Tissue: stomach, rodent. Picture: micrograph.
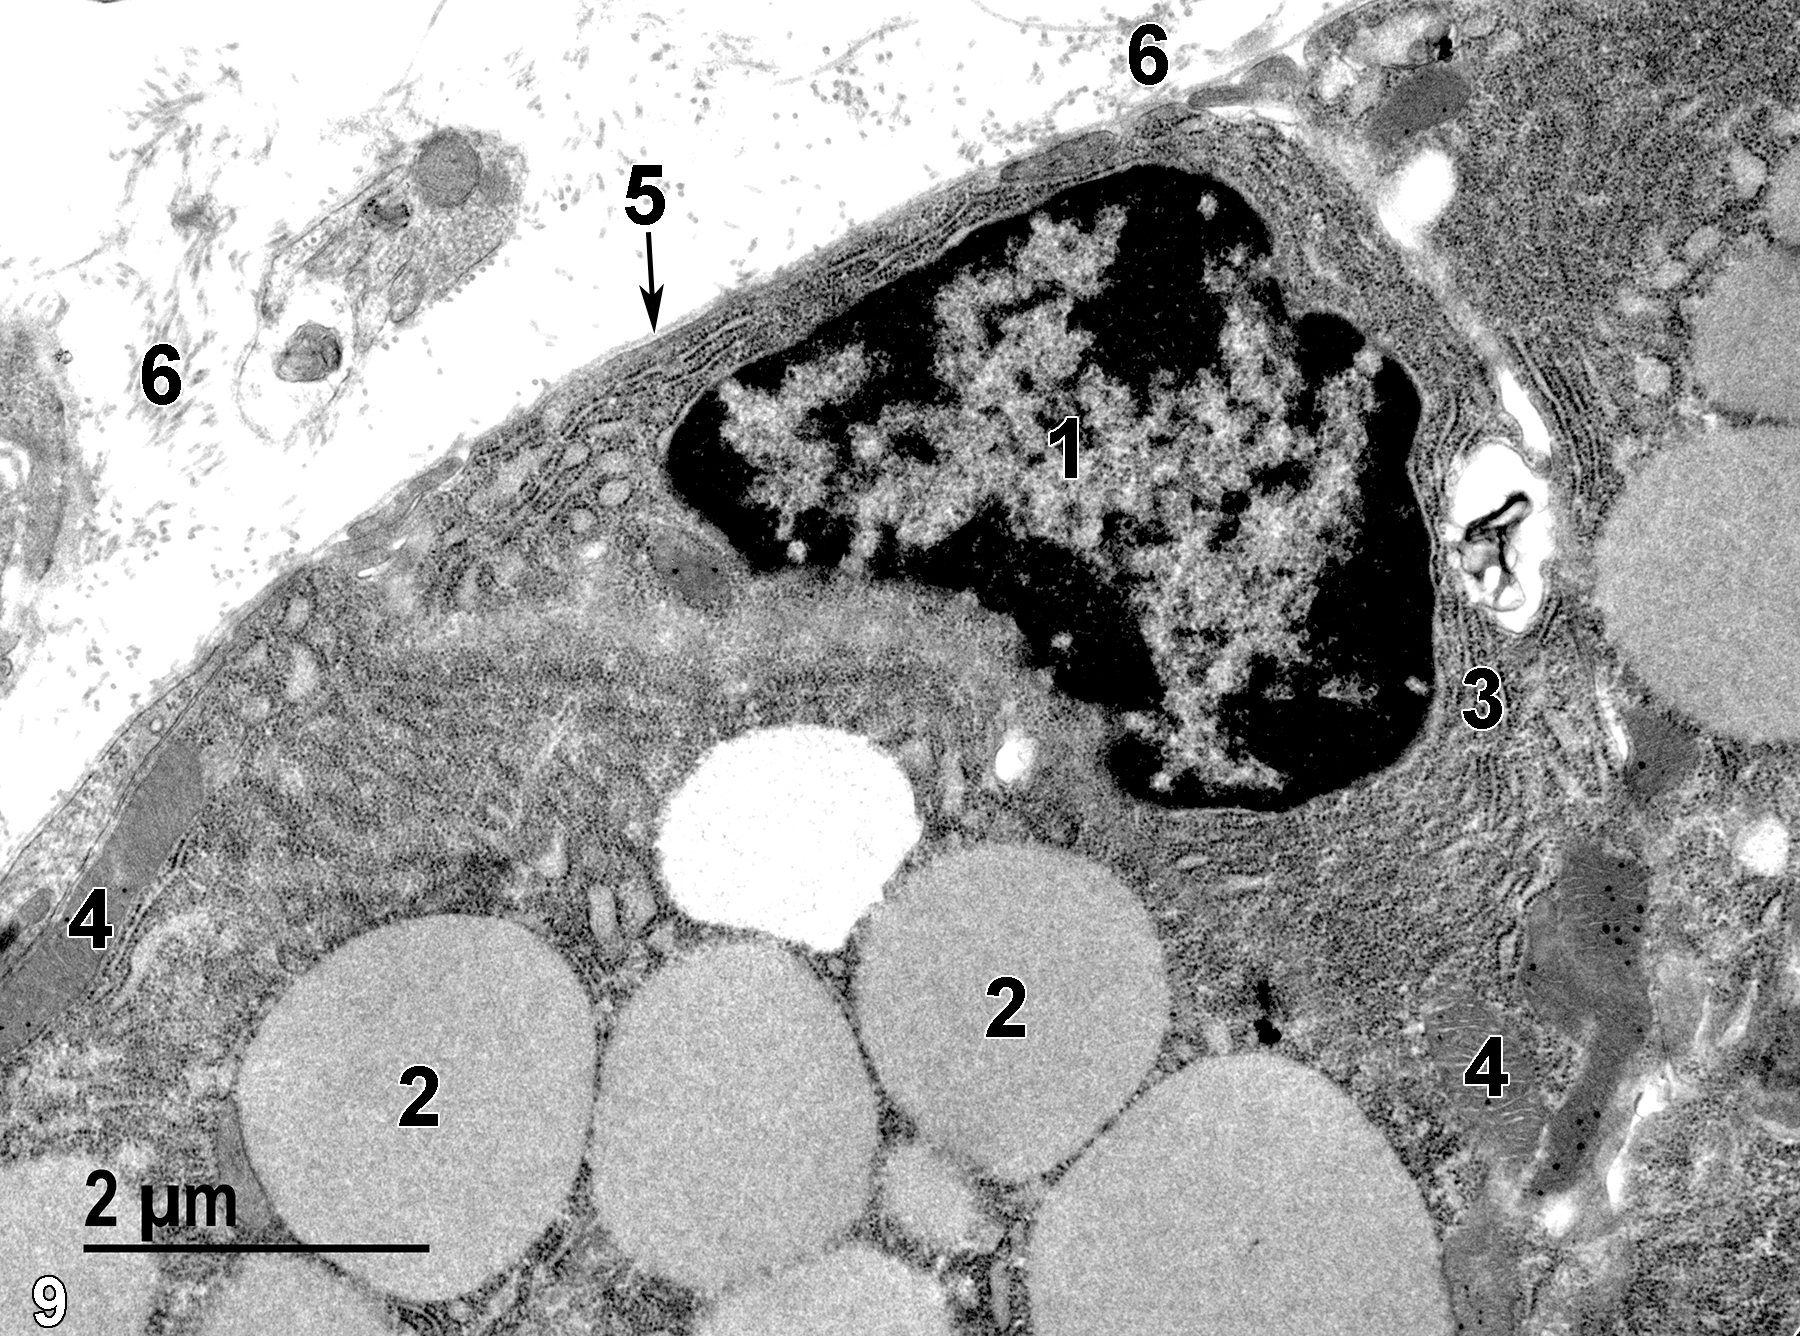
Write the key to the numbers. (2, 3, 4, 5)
2 - zymogen granules
3 - rough endoplasmic reticulum
4 - mitochondria
5 - basal lamina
